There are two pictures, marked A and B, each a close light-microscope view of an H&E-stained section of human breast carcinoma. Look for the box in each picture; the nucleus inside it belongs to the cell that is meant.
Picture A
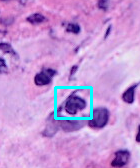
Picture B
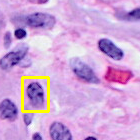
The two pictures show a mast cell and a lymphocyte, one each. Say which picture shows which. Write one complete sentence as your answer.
The cell in picture A is a lymphocyte, and the one in picture B is a mast cell.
